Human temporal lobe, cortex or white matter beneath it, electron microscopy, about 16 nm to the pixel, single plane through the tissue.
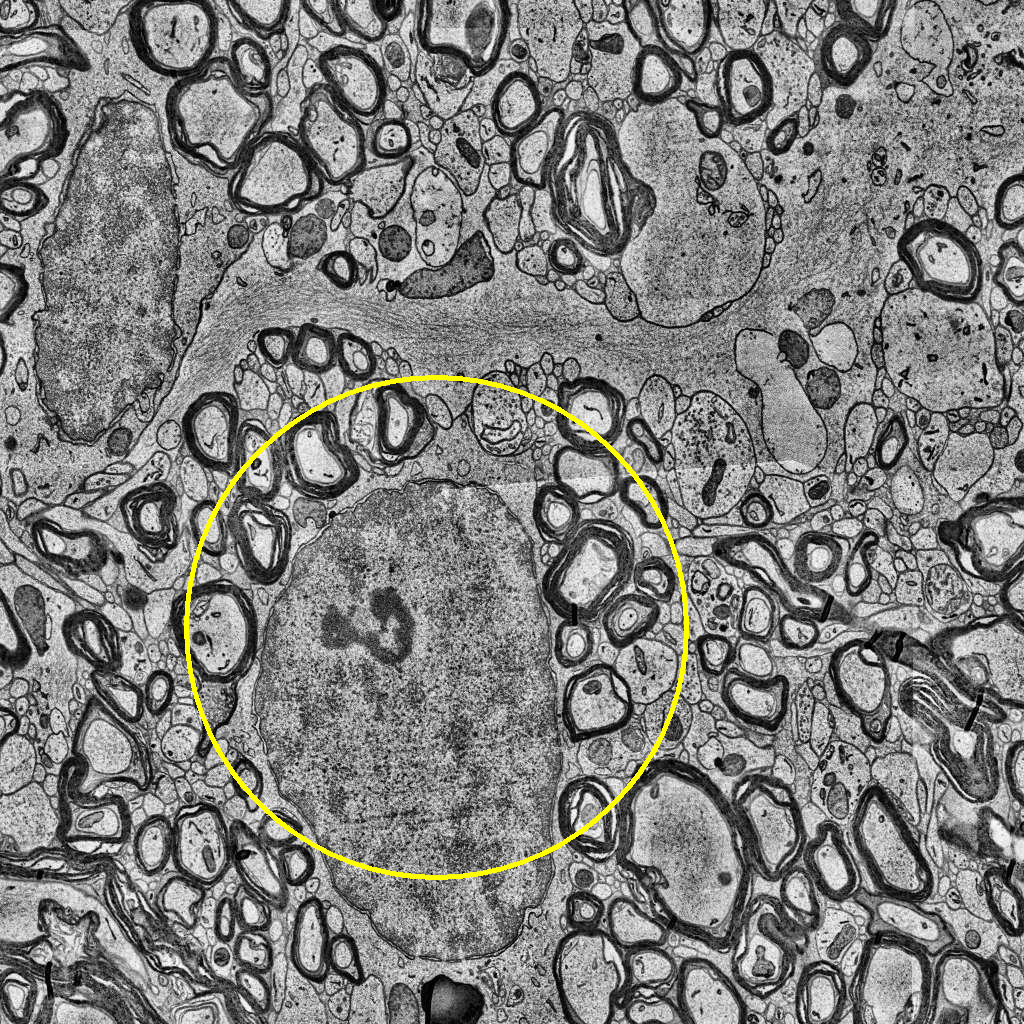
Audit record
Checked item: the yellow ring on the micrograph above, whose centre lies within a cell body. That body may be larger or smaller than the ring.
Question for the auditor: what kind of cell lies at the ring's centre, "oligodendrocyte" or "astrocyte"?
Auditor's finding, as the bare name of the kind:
oligodendrocyte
